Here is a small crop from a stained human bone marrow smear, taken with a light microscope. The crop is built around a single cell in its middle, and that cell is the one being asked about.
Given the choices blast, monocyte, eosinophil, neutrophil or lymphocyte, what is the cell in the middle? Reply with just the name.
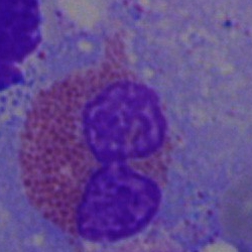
eosinophil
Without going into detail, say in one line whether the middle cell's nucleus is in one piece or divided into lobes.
Its nucleus is lobed, with at least two separate segments.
